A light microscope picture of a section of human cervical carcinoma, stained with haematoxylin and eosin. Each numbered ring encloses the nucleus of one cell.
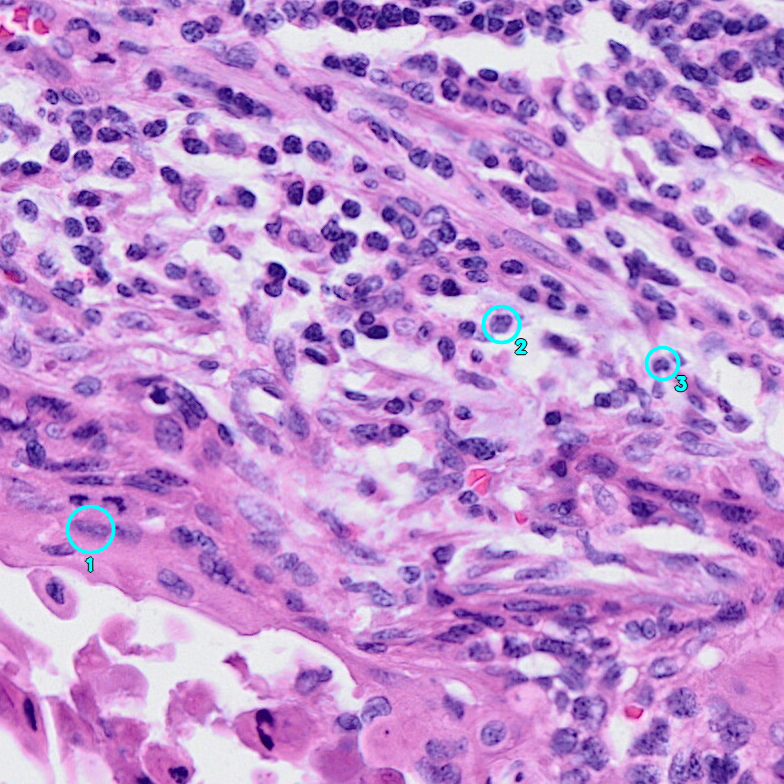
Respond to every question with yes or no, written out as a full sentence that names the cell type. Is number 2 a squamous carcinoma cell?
No, the one with number 2 is a lymphocyte, not a squamous carcinoma cell.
